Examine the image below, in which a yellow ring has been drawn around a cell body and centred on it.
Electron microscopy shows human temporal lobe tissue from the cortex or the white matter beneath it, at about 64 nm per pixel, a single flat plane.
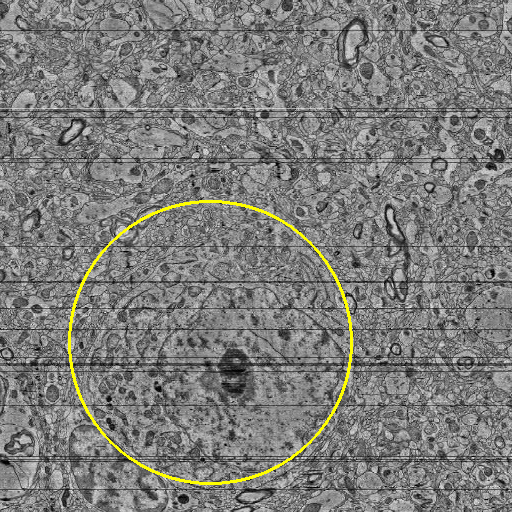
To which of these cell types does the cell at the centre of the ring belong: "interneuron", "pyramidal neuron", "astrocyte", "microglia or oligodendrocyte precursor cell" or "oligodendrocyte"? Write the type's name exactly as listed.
interneuron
